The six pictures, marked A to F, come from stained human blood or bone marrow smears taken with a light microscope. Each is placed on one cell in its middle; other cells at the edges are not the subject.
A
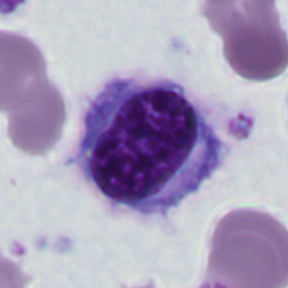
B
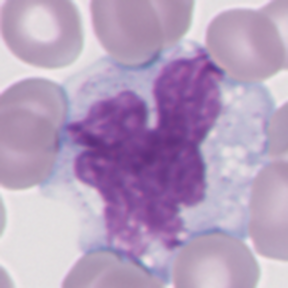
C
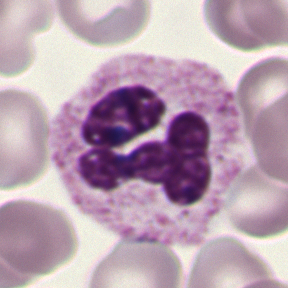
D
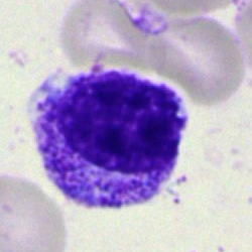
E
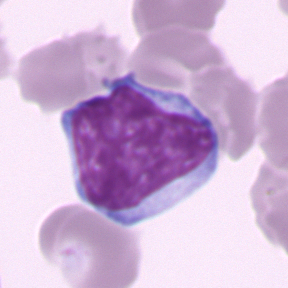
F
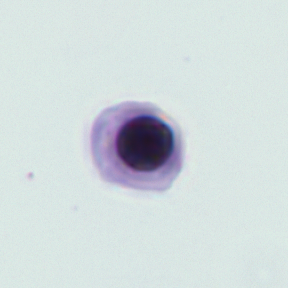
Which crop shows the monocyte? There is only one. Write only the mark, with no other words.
B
